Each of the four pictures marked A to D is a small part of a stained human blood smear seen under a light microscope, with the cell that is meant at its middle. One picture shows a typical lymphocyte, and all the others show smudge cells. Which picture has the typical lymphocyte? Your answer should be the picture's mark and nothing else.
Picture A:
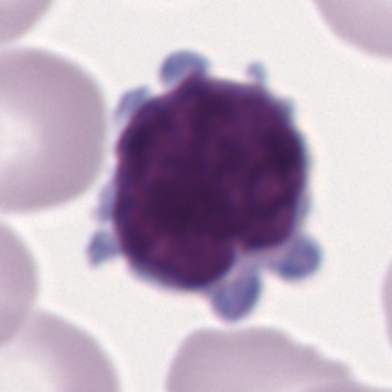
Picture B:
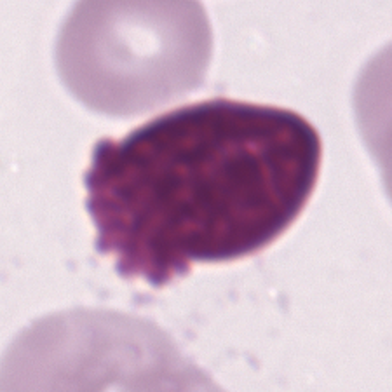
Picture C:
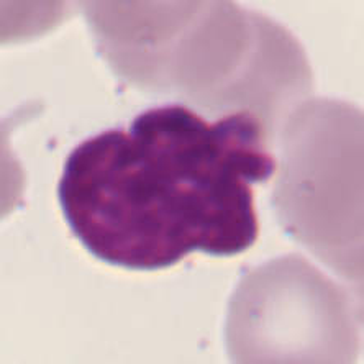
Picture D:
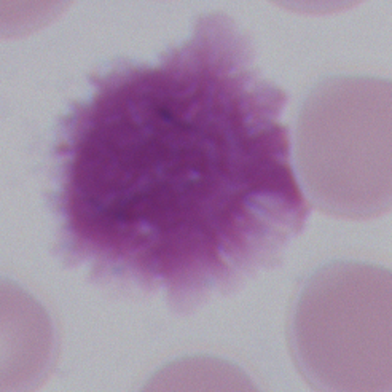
A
